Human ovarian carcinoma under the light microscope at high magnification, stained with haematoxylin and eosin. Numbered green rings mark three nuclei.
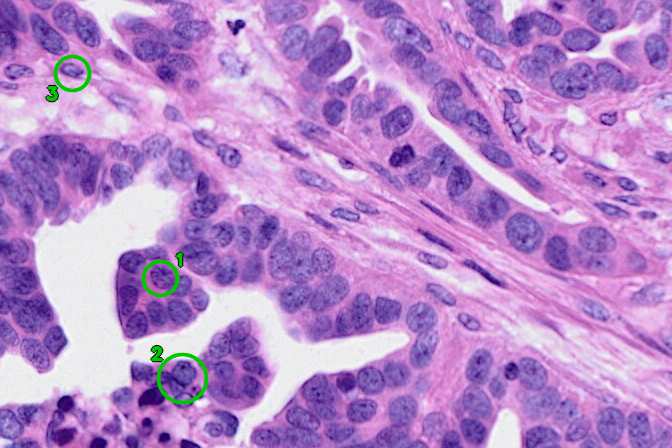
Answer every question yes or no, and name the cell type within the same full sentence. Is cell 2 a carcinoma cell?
Yes, the cell to which number 2 refers is a carcinoma cell.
